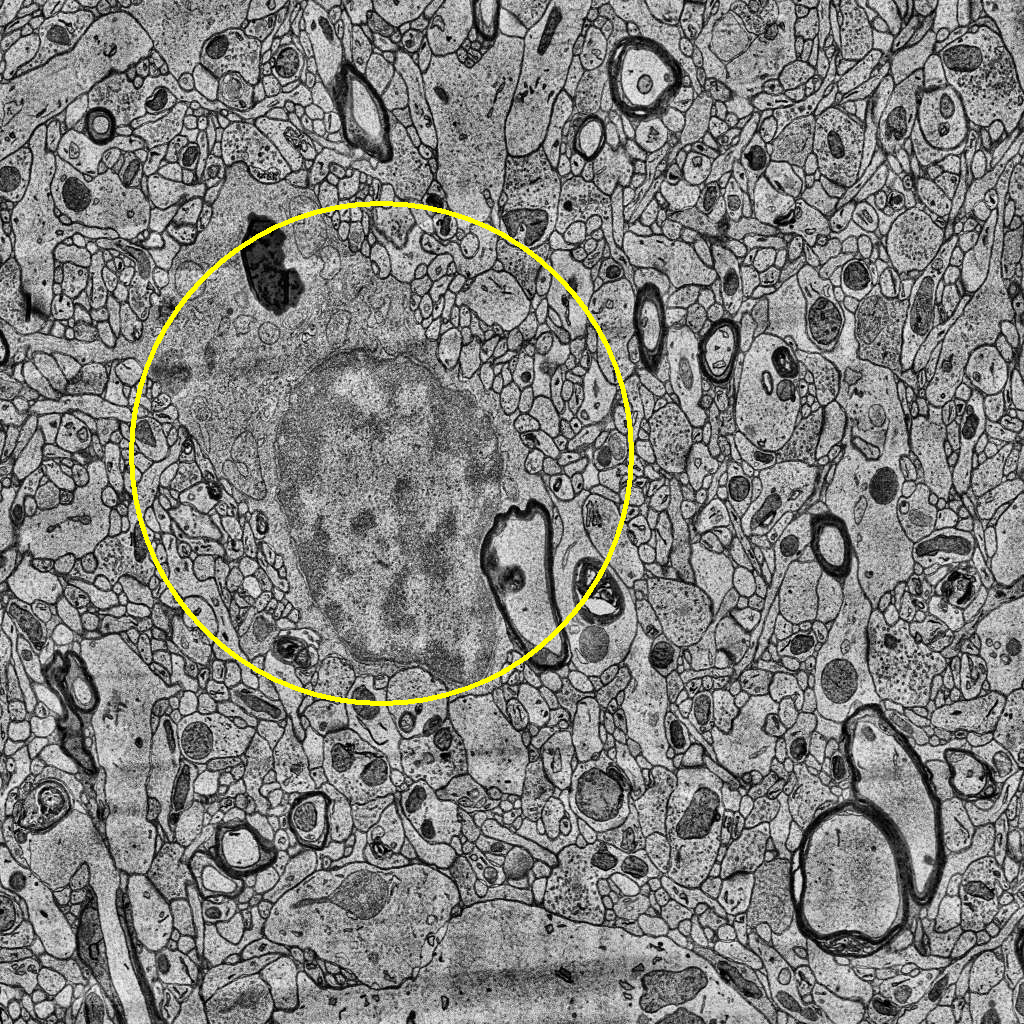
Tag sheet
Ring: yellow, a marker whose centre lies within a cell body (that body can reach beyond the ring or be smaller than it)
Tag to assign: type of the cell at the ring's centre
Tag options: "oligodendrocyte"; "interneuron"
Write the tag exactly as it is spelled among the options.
oligodendrocyte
